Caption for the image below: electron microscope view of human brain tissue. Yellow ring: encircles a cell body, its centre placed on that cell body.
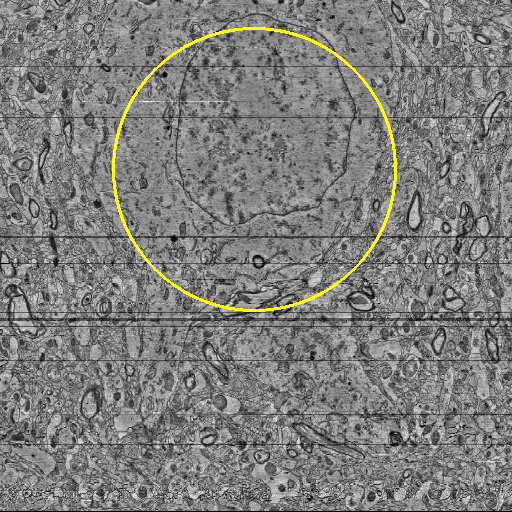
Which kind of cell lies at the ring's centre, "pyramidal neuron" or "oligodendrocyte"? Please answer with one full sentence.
The picture shows a pyramidal neuron at the centre of the yellow ring.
